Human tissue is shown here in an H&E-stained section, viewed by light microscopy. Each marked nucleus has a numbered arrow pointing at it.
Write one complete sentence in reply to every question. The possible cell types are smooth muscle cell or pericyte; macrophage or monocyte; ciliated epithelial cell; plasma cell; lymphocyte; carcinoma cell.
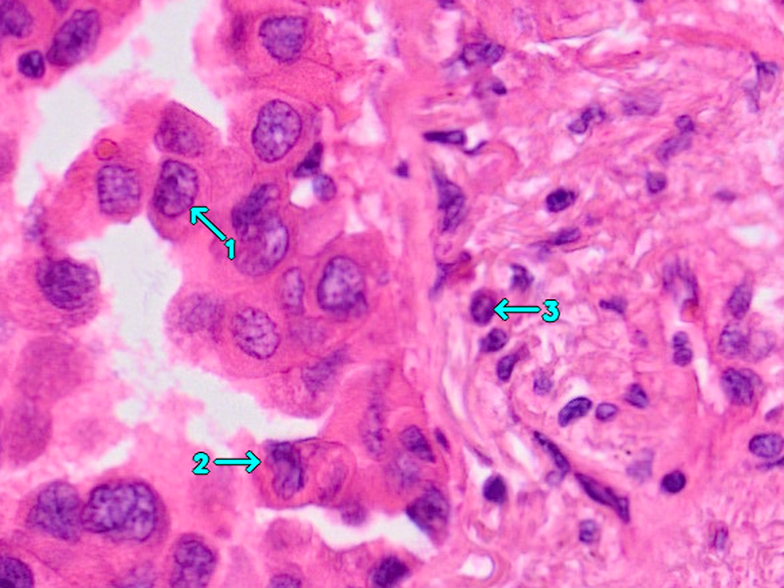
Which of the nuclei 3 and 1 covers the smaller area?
It is nucleus 3; nucleus 1 has about 3 times its area.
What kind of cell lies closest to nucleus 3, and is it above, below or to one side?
The closest nucleus belongs to a plasma cell and sits below nucleus 3.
